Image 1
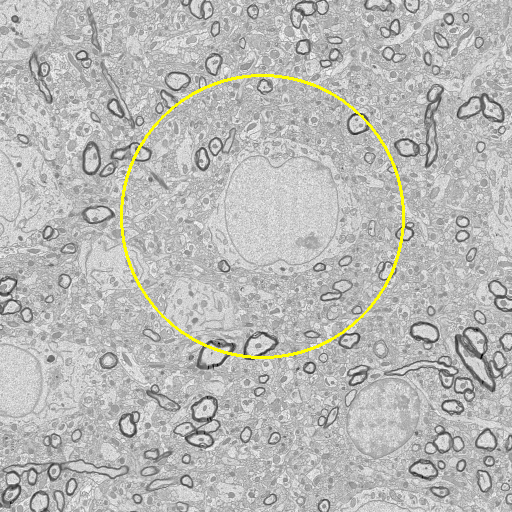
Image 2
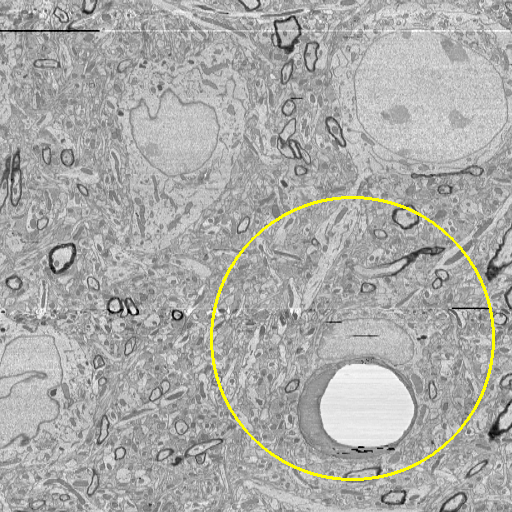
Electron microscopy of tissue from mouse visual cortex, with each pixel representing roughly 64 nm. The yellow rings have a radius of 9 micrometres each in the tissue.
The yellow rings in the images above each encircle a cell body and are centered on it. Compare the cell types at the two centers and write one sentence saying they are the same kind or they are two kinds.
Taken together, the two cells at the ring centers are two kinds.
